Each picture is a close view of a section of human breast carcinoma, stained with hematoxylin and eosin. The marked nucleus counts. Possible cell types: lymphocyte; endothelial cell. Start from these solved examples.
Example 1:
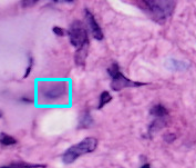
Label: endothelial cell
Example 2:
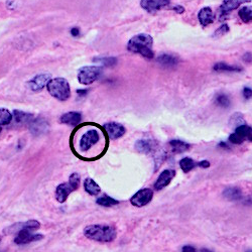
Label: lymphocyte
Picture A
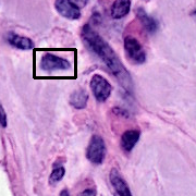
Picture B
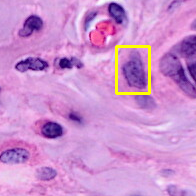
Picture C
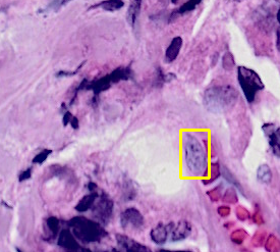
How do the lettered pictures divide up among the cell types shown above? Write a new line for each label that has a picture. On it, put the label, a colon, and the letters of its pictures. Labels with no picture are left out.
lymphocyte: A
endothelial cell: B, C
